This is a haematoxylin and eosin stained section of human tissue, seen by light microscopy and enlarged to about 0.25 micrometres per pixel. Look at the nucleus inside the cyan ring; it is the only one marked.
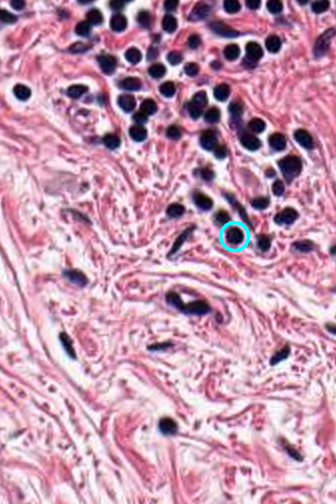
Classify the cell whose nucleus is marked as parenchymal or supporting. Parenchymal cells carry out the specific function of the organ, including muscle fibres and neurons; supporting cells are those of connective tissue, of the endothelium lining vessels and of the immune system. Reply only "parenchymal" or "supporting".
supporting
